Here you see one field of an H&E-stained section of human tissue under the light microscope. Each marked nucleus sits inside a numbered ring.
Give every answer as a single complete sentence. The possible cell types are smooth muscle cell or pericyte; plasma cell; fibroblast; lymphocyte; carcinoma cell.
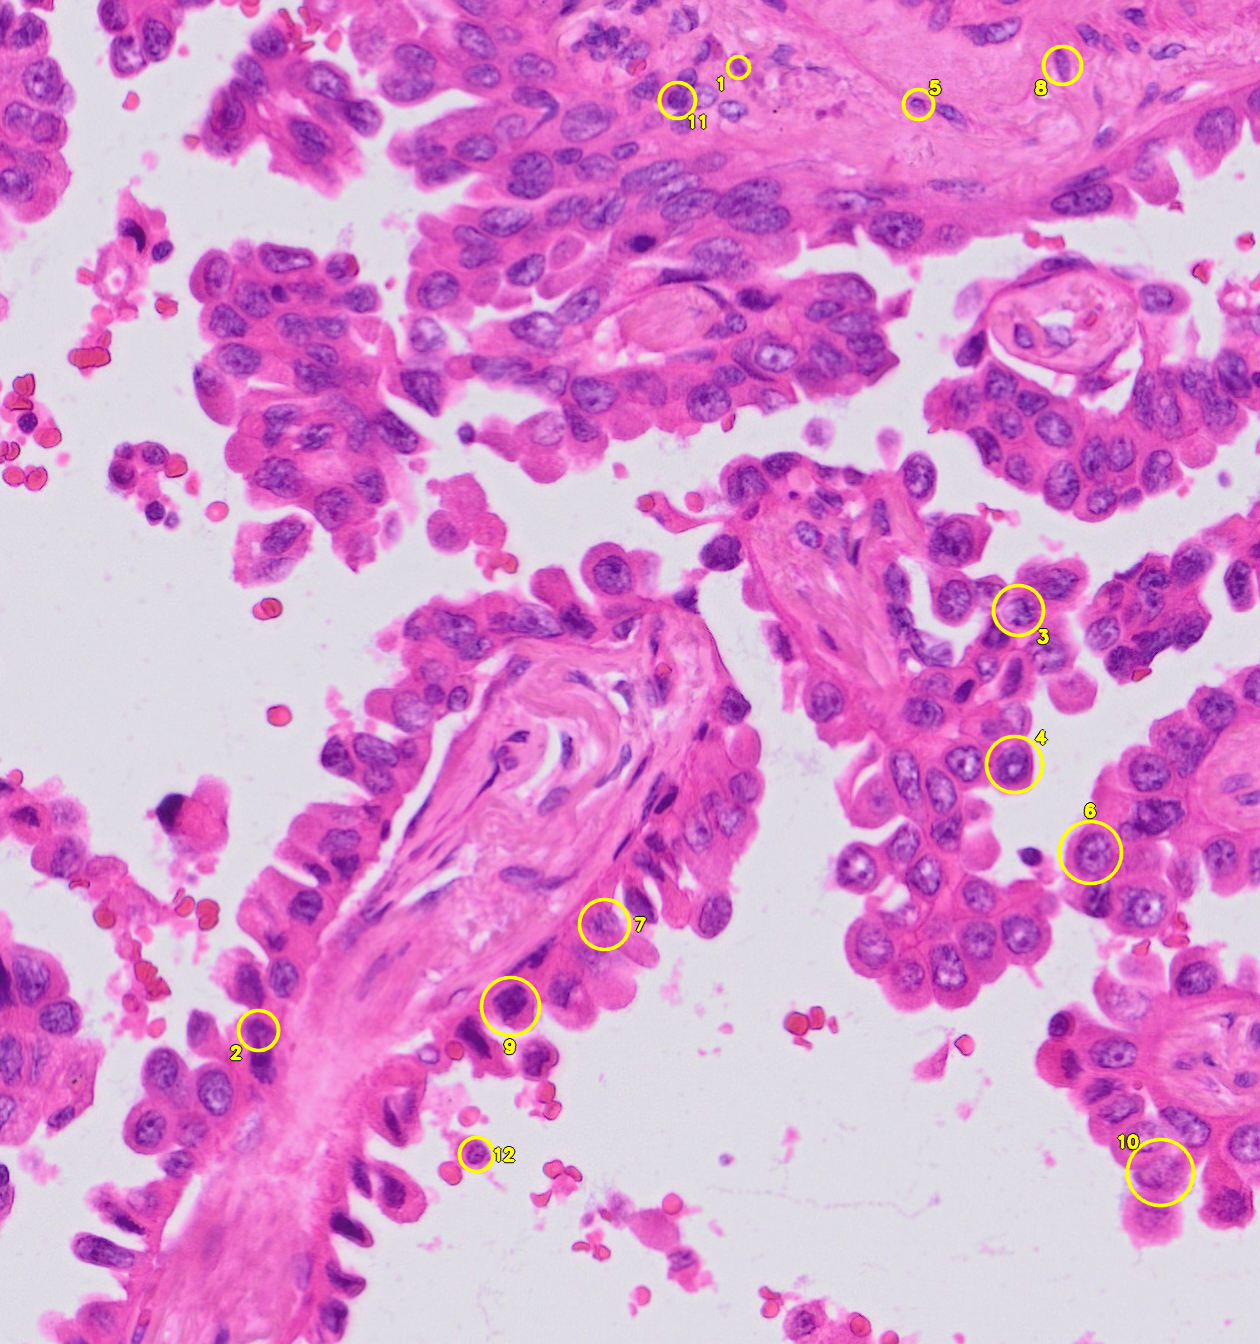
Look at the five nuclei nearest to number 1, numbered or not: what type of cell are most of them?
The majority of the five nuclei closest to number 1 belong to fibroblasts.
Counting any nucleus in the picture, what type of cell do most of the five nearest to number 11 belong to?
Most of the five nuclei nearest to number 11 are those of lymphocytes.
